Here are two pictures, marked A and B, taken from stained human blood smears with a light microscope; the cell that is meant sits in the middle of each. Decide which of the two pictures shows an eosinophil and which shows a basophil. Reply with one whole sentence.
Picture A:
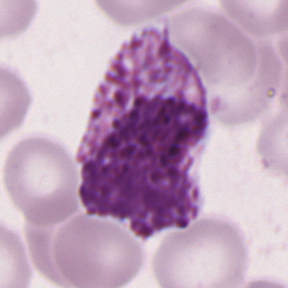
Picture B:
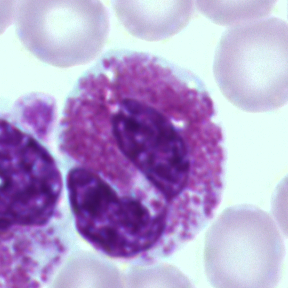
Picture B shows an eosinophil, while picture A shows a basophil.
